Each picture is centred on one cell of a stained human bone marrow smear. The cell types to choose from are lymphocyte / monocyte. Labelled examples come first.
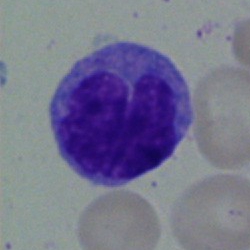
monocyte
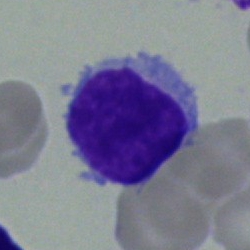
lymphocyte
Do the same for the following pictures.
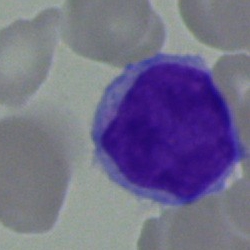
lymphocyte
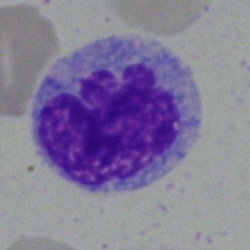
monocyte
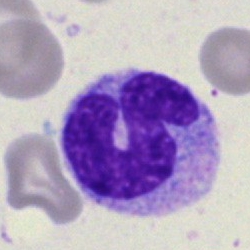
monocyte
